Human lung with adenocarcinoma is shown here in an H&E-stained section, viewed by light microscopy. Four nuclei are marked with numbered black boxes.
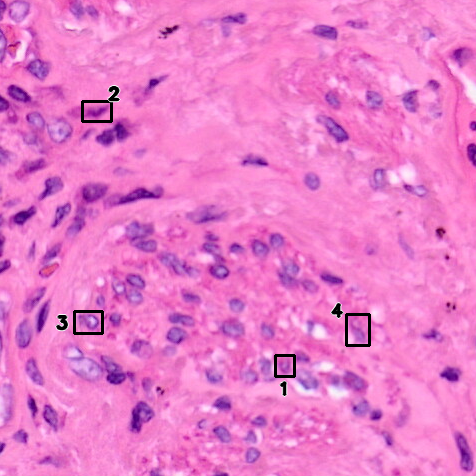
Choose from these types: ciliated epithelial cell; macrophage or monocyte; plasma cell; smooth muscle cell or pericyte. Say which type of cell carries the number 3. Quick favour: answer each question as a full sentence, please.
At number 3, the marked cell is a smooth muscle cell or pericyte.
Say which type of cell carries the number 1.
In this section, the cell numbered 1 is a smooth muscle cell or pericyte.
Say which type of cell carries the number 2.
What the number 2 marks in this field is a plasma cell.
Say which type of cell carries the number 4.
The nucleus labeled 4 belongs to a smooth muscle cell or pericyte.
